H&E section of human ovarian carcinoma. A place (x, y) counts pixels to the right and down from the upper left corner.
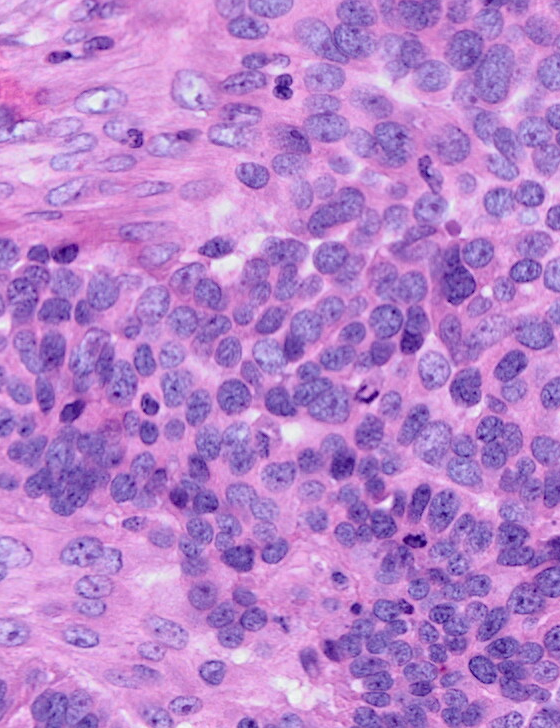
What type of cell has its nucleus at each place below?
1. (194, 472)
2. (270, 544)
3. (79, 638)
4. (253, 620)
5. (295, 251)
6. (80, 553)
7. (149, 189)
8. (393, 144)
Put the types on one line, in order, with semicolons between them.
carcinoma cell; carcinoma cell; fibroblast; carcinoma cell; carcinoma cell; fibroblast; fibroblast; carcinoma cell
